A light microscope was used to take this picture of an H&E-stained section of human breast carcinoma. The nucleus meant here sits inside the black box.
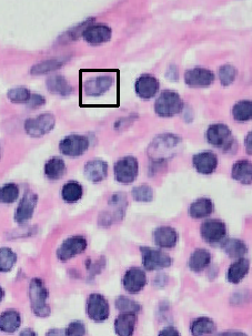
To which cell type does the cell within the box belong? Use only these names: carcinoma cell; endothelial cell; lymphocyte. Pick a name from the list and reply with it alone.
lymphocyte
